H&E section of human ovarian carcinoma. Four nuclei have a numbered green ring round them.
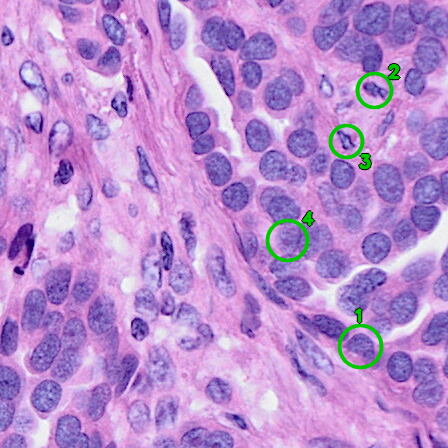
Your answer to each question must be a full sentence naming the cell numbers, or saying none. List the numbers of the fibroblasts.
The cells numbered 2 and 3 are identified as fibroblasts.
